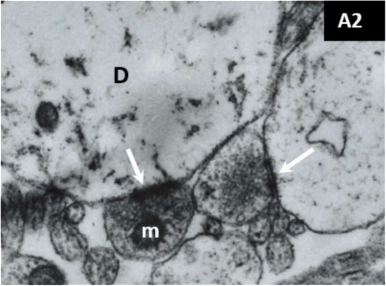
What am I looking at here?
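The dendrite fills the upper part of the picture as a wide, pale profile with scattered dark material. Below it lie two rounded boutons packed with small vesicles, one of them holding a mitochondrion. Smaller cut processes crowd the space around them.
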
